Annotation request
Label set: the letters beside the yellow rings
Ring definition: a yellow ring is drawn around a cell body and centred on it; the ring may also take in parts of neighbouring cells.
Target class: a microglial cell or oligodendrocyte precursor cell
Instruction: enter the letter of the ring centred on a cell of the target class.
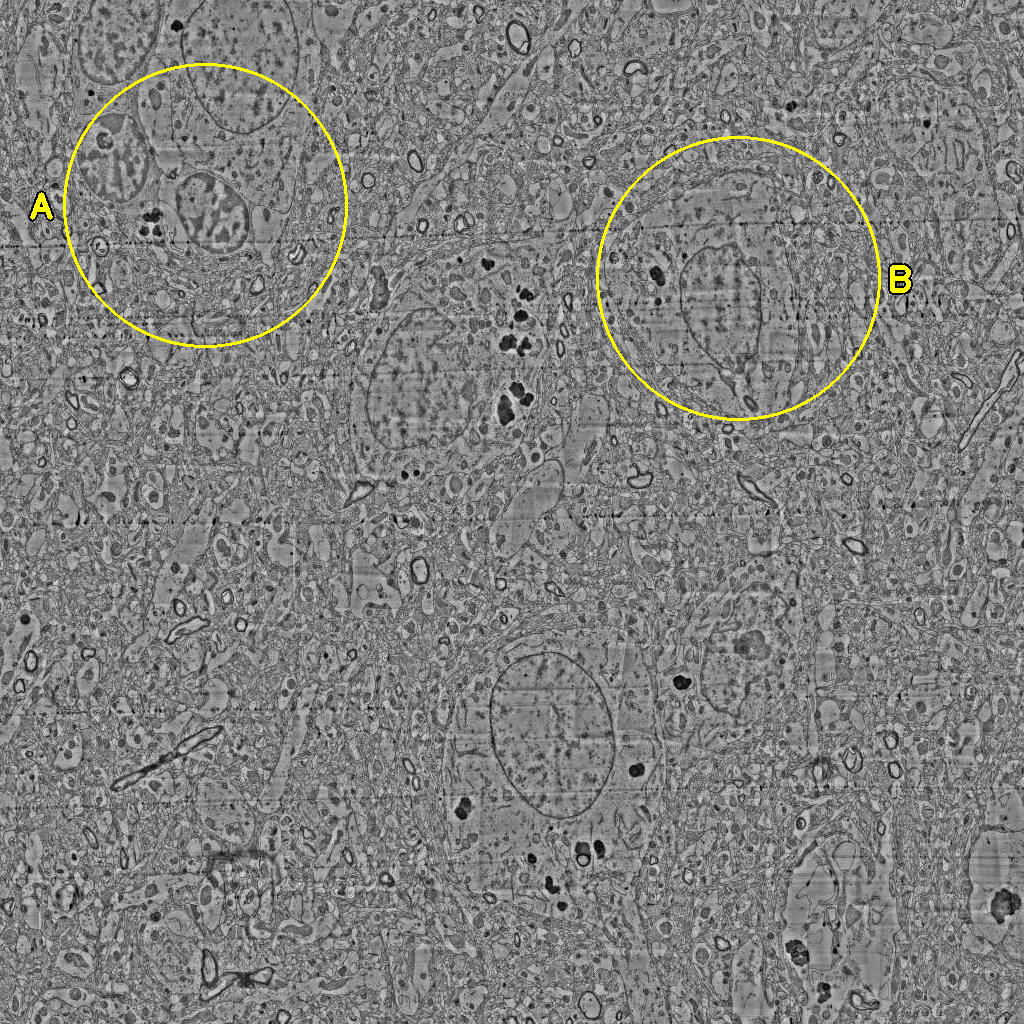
A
